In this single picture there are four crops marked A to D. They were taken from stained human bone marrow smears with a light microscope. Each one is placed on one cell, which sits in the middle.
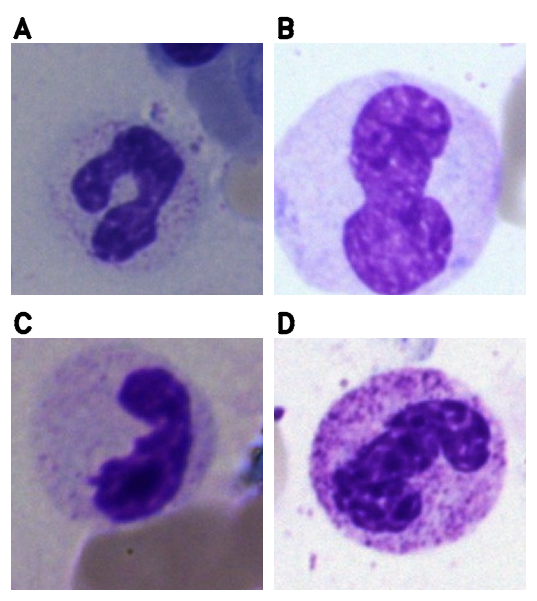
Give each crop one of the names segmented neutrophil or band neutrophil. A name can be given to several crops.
A: segmented neutrophil
B: band neutrophil
C: band neutrophil
D: segmented neutrophil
